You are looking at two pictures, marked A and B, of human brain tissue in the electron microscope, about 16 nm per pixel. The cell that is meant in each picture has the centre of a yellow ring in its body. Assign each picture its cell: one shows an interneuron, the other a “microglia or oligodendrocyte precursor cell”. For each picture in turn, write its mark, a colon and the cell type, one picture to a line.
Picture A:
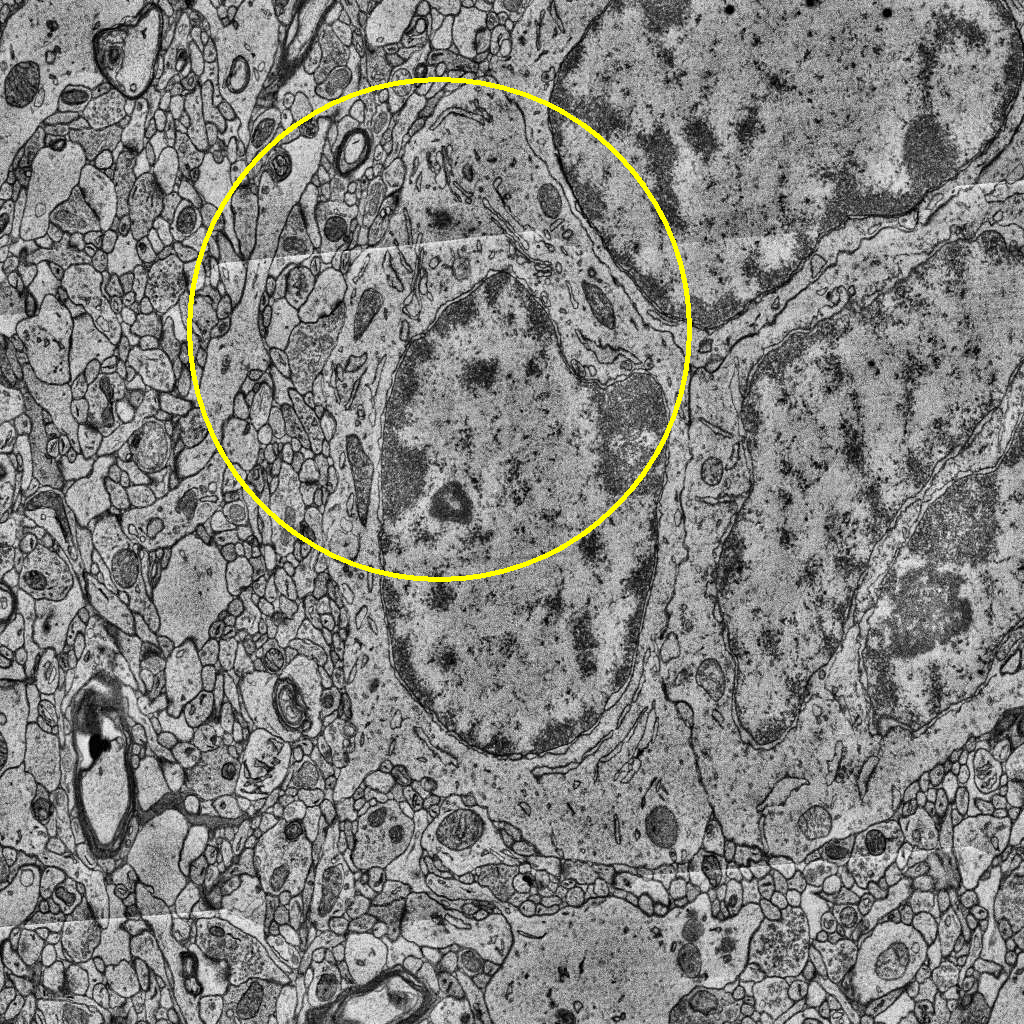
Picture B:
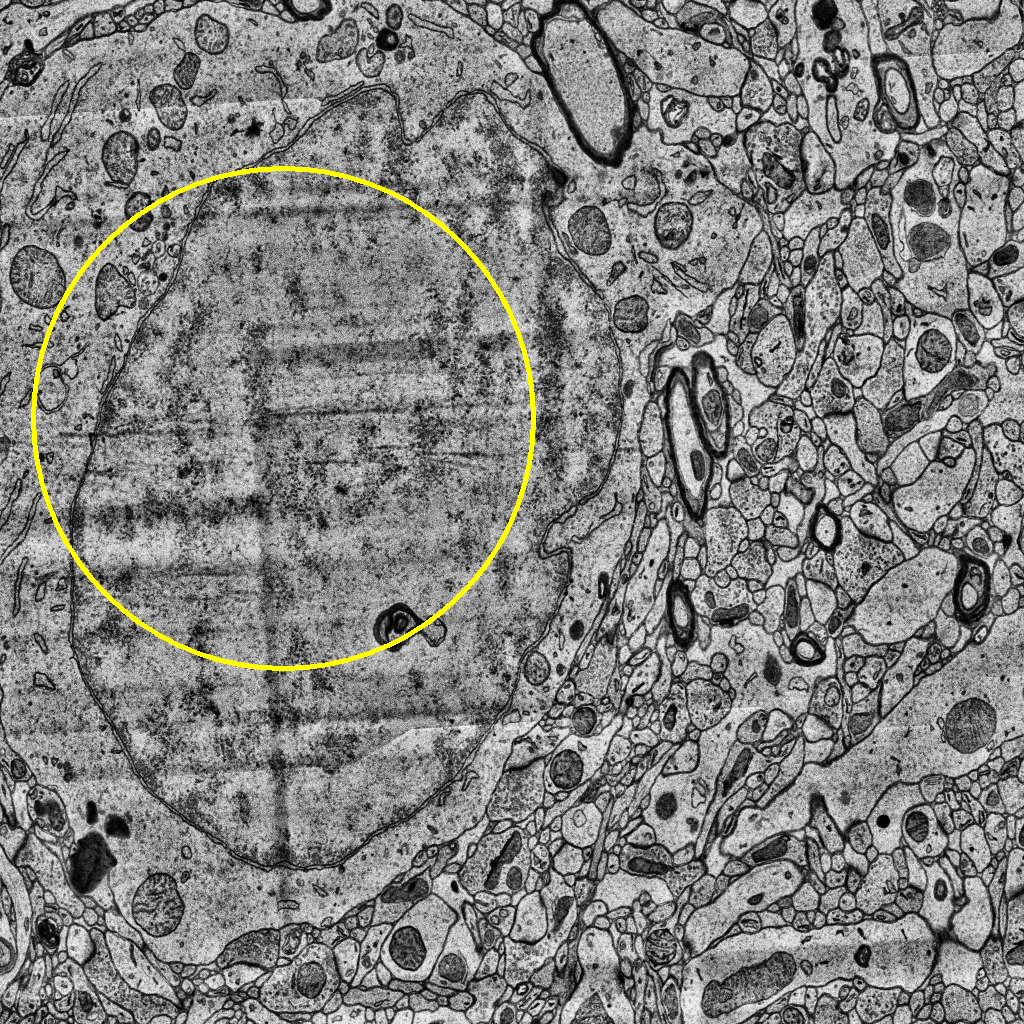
A: microglia or oligodendrocyte precursor cell
B: interneuron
